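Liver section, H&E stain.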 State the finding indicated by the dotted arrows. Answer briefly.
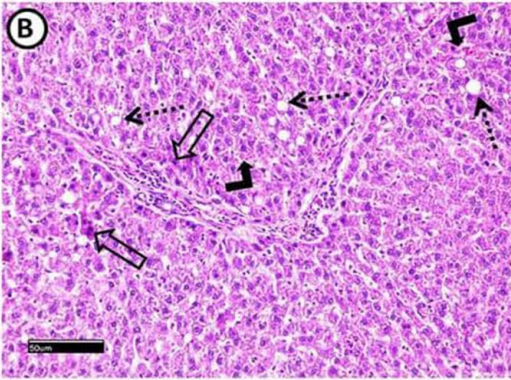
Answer: Vacuolated hepatocytes.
